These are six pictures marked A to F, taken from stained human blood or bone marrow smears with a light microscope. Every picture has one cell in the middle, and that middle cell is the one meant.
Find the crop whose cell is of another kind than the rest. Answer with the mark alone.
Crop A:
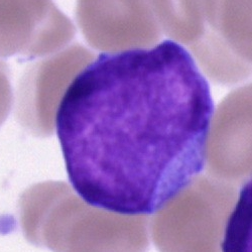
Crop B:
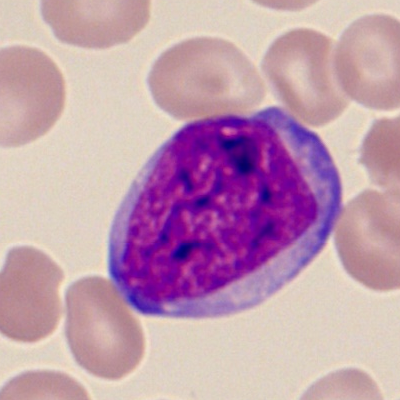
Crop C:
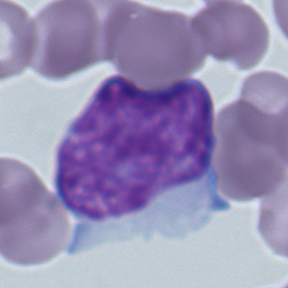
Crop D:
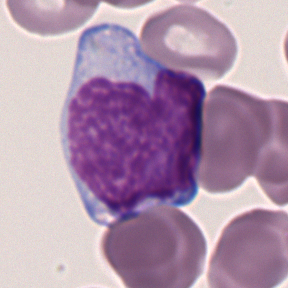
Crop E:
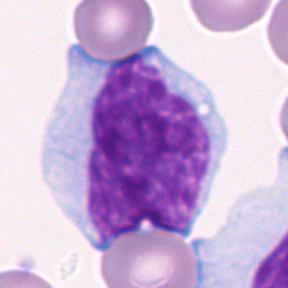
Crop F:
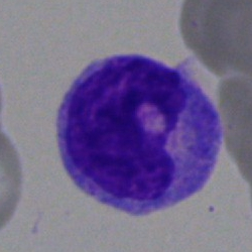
F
